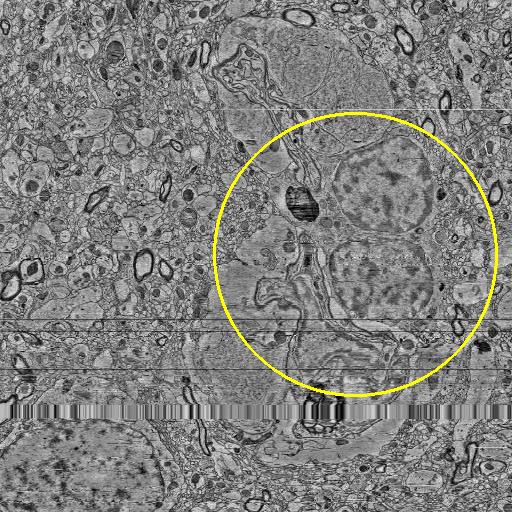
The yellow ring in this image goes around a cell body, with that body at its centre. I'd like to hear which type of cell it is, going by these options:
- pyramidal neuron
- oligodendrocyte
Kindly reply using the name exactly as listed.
oligodendrocyte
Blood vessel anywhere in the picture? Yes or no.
Yes, the picture includes a blood vessel.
